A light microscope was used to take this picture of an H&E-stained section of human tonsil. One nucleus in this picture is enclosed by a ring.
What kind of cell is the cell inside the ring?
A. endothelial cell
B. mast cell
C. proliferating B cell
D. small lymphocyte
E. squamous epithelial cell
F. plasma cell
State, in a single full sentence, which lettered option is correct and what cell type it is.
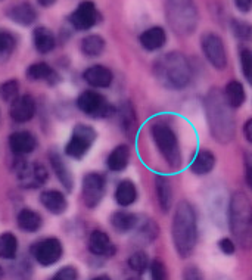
It is option A that correctly calls the cell inside the ring an endothelial cell.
